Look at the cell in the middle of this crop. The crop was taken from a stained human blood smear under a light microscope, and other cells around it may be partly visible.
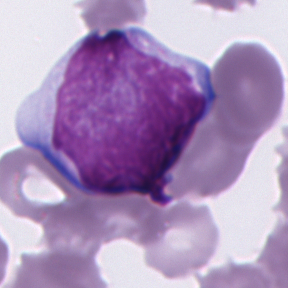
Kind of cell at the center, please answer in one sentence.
This particular crop is centered on a myeloblast.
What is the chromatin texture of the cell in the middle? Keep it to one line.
Heads up, the chromatin is fine with no coarse clumps in it.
